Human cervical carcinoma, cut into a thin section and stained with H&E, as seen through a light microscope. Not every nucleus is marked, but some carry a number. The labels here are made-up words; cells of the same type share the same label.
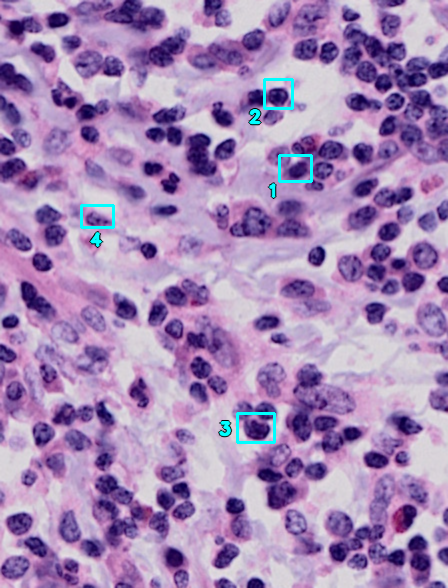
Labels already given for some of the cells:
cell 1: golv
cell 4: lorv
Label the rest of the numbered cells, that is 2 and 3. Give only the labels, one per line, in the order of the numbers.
golv
golv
